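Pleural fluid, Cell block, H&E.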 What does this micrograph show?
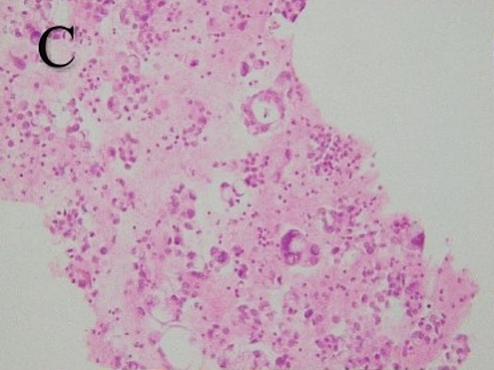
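In a pink, finely granular background lie many small round cells with dark purple nuclei, together with groups of distinctly larger cells. The larger cells have bigger nuclei and pale cytoplasm, some holding clear round vacuoles, and they gather in small clusters.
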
